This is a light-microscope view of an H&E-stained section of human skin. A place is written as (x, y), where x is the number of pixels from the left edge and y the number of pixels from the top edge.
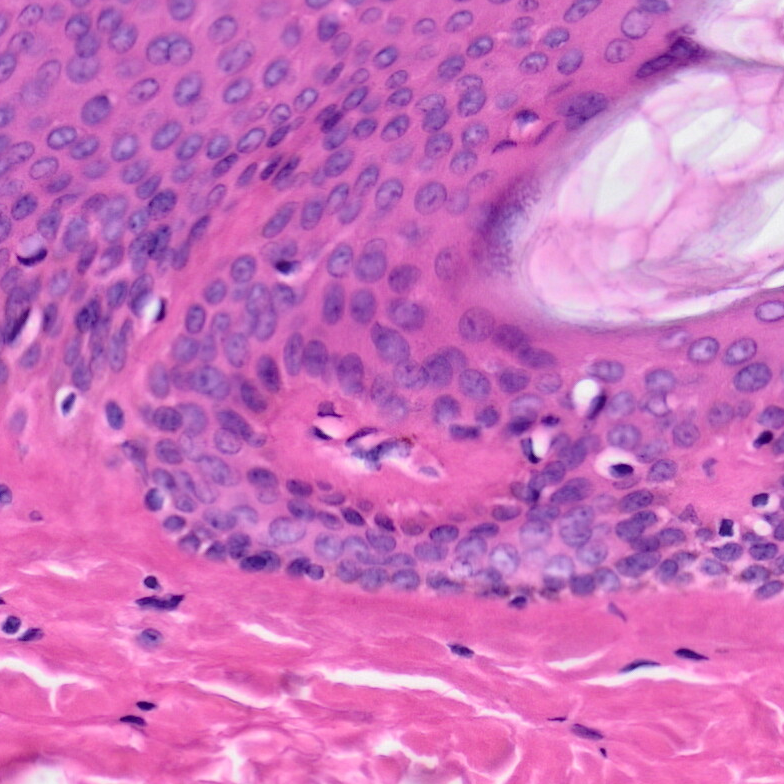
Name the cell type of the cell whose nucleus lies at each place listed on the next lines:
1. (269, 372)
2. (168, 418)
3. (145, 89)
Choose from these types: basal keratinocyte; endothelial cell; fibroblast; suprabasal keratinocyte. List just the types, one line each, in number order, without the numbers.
basal keratinocyte
basal keratinocyte
suprabasal keratinocyte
